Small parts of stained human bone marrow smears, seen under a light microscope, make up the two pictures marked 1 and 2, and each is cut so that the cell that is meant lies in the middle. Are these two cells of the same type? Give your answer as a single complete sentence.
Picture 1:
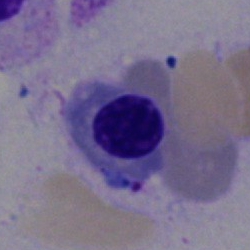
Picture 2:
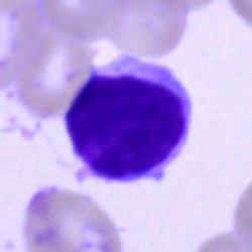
No, they differ: the cell is an erythroblast in picture 1 and a lymphocyte in picture 2.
